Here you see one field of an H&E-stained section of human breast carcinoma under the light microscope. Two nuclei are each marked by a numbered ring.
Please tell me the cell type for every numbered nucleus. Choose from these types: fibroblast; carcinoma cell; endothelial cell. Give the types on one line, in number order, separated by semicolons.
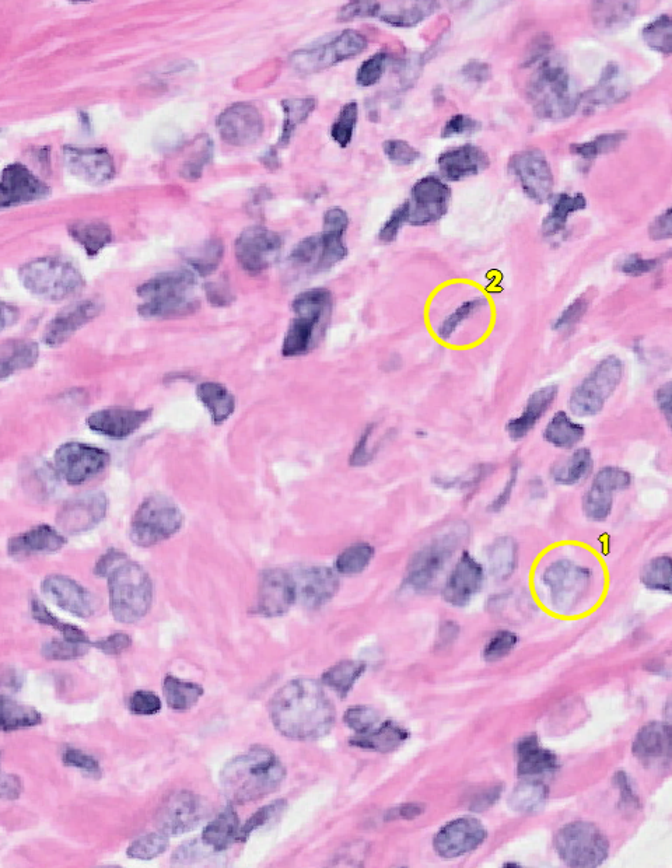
carcinoma cell; fibroblast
